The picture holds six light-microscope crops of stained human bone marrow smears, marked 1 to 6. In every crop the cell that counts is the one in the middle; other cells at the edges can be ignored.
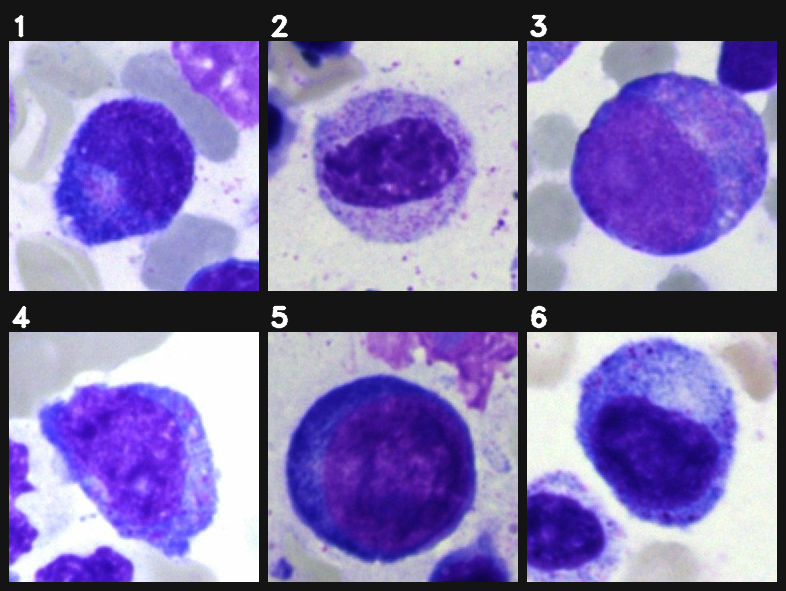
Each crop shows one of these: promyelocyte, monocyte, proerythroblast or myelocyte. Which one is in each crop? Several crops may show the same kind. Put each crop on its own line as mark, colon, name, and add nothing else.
1: promyelocyte
2: myelocyte
3: promyelocyte
4: promyelocyte
5: proerythroblast
6: promyelocyte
